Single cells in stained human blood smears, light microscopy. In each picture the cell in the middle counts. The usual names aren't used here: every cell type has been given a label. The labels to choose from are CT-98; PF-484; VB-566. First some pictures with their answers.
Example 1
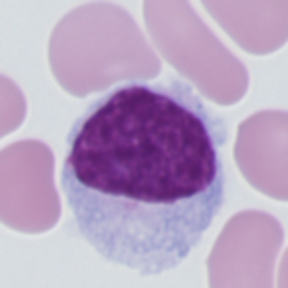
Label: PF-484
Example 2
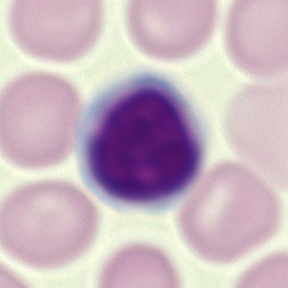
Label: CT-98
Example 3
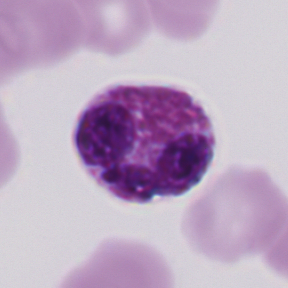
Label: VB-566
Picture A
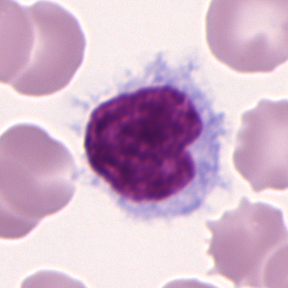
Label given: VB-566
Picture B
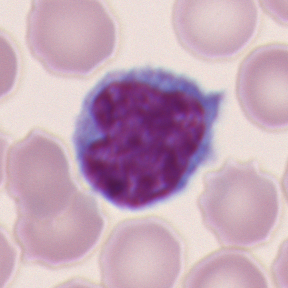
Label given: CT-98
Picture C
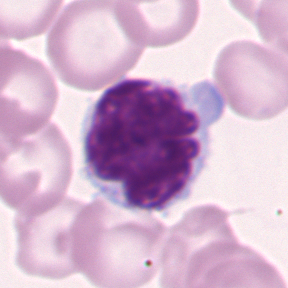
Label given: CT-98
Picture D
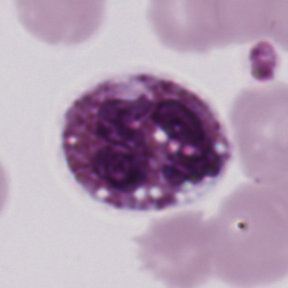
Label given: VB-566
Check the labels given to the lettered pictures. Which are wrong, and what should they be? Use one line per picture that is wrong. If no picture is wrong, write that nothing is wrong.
A: PF-484, not VB-566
